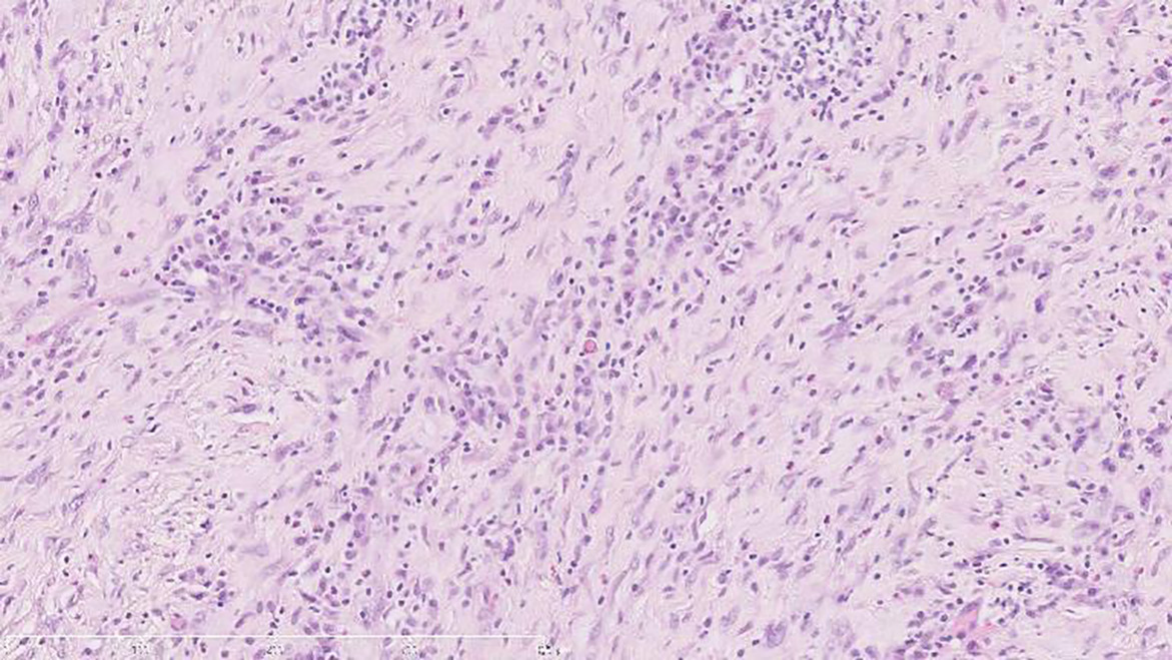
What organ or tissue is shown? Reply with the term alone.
fibrotic stroma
